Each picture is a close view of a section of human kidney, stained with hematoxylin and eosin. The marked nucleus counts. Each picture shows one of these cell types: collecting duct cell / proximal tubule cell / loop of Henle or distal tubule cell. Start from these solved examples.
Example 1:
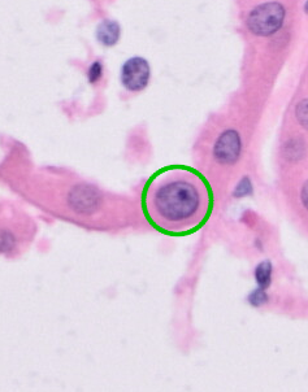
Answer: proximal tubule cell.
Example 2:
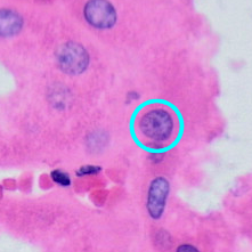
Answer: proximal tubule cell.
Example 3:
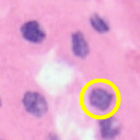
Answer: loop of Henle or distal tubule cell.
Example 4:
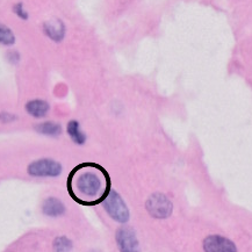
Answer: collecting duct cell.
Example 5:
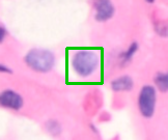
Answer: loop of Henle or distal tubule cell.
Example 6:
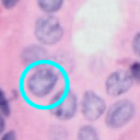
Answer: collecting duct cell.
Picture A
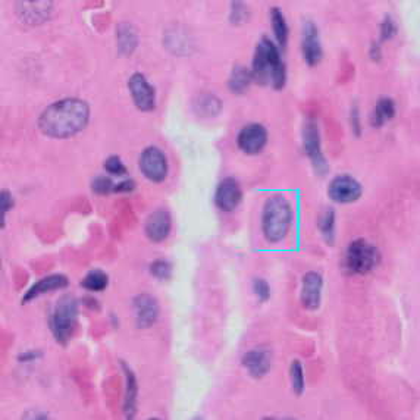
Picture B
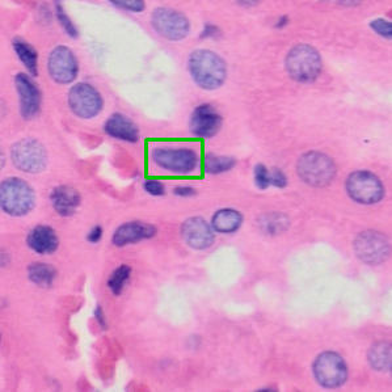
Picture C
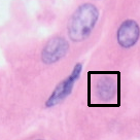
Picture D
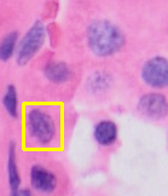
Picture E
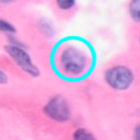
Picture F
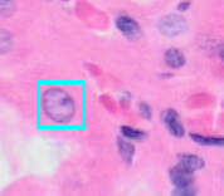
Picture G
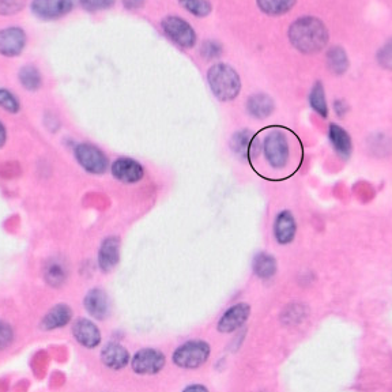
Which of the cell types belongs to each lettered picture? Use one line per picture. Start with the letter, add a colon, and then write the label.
A: loop of Henle or distal tubule cell.
B: collecting duct cell.
C: proximal tubule cell.
D: loop of Henle or distal tubule cell.
E: loop of Henle or distal tubule cell.
F: proximal tubule cell.
G: collecting duct cell.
